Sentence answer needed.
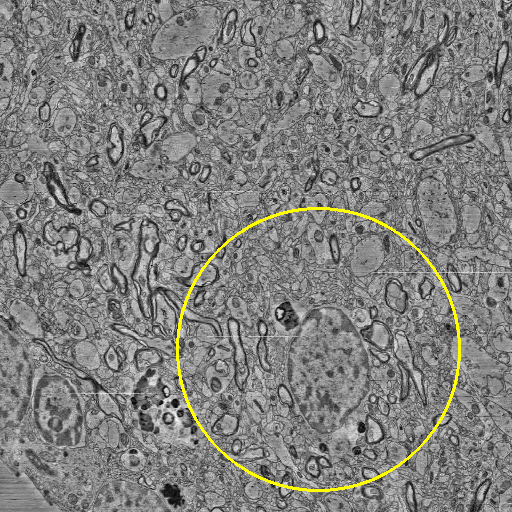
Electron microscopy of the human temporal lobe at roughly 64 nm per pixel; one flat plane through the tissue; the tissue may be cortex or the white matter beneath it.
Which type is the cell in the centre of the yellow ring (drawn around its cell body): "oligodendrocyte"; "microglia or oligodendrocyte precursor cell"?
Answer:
In the centre of the yellow ring is an oligodendrocyte.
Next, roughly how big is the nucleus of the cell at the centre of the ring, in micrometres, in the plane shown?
Clearly longer than it is wide in this plane, the nucleus measures roughly 9 by 5 micrometres.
